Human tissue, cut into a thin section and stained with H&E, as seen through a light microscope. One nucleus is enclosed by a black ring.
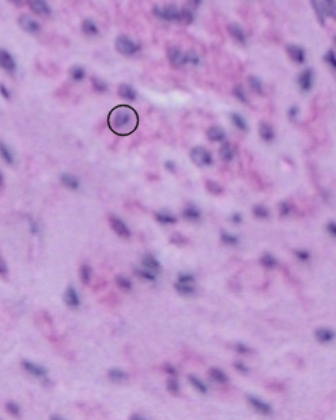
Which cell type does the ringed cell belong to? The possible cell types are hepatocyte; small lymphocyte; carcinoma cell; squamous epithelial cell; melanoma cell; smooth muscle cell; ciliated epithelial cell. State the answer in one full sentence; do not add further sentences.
In the tissue under study, the ringed cell is a smooth muscle cell.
